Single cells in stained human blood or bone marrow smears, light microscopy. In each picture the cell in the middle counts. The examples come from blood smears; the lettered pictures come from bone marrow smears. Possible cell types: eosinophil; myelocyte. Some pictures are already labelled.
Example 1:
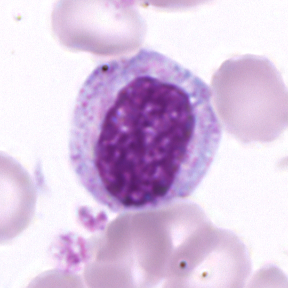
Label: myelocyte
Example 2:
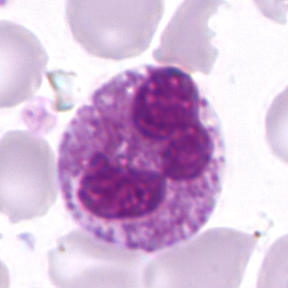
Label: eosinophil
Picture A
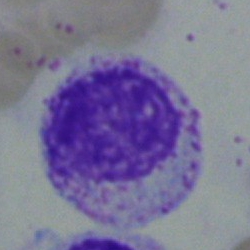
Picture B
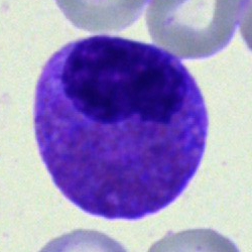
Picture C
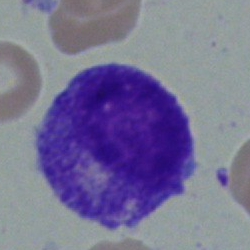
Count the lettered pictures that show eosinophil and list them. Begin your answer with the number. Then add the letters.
Count: 1 (B)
